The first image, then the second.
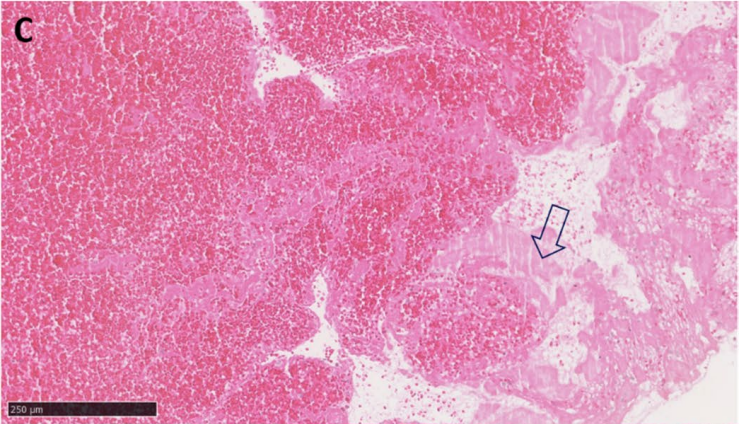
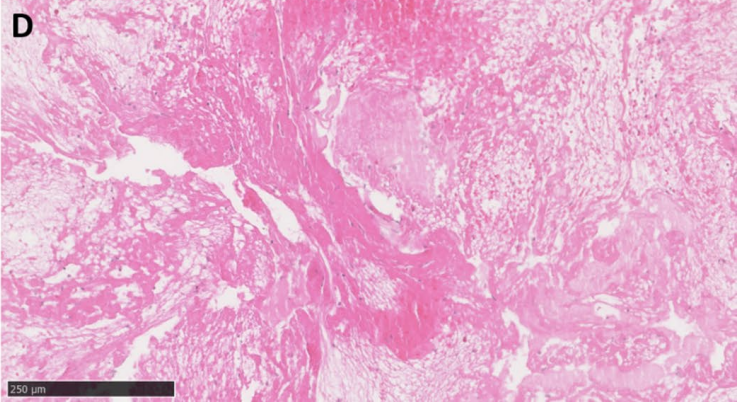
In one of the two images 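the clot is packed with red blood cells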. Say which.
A: The first image.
